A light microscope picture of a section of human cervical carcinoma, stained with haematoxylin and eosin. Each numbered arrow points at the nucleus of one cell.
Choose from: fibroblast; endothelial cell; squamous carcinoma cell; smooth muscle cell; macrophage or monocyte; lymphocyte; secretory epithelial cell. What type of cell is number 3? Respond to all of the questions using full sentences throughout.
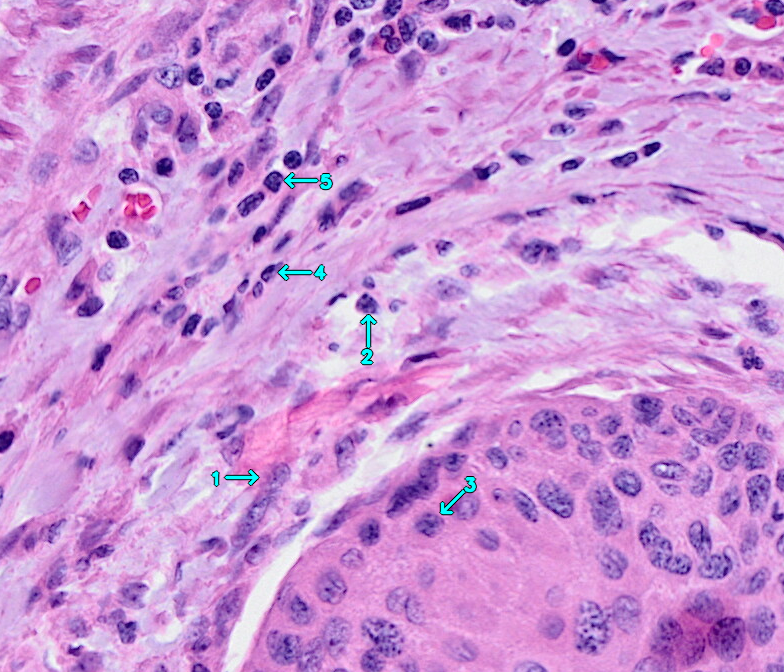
Heads up, the cell numbered 3 is a squamous carcinoma cell.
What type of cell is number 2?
Corresponding to a lymphocyte is the cell labelled 2.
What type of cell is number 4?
That cell with number 4 is a lymphocyte.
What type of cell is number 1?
Of the numbered cells, the one labelled 1 is an endothelial cell.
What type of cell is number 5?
Corresponding to a lymphocyte is the cell labelled 5.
